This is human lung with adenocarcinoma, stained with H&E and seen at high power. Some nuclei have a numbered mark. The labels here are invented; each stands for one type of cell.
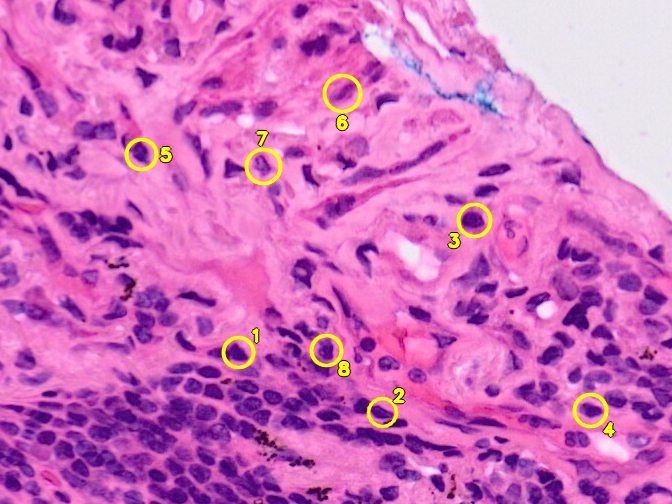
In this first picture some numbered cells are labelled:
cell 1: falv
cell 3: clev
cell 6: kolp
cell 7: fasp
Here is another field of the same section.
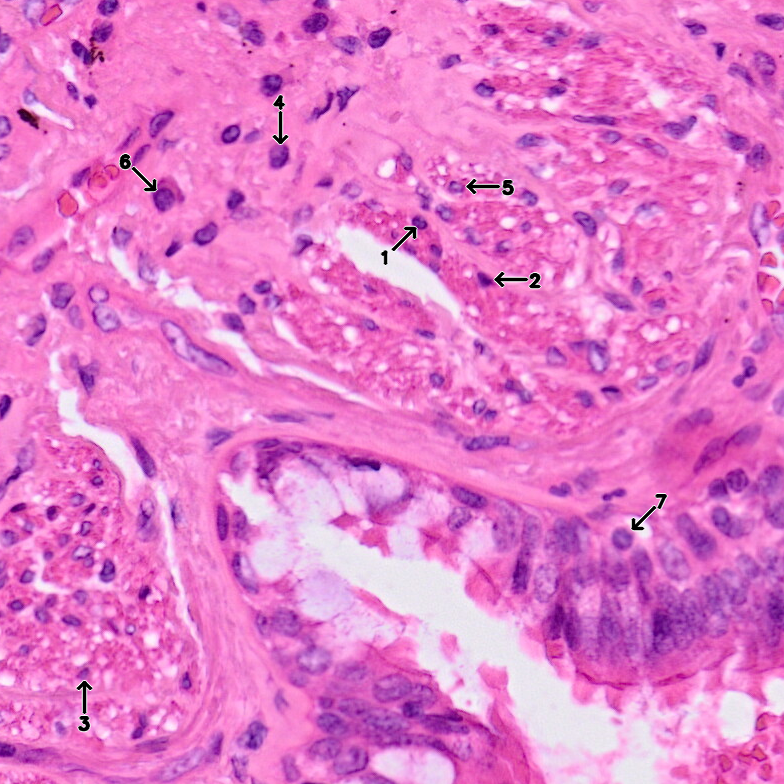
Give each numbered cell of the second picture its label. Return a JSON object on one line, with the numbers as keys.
{"1": "kolp", "2": "kolp", "3": "kolp", "4": "clev", "5": "kolp", "6": "clev", "7": "fasp"}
